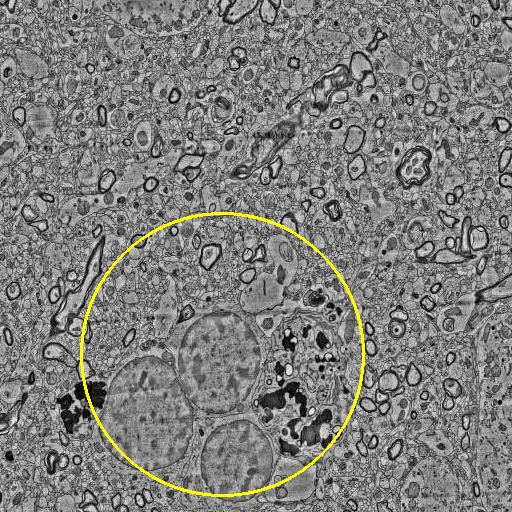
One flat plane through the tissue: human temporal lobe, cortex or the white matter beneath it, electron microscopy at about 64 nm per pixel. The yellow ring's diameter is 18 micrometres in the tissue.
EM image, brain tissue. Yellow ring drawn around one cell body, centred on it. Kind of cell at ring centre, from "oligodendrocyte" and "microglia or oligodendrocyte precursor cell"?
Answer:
oligodendrocyte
